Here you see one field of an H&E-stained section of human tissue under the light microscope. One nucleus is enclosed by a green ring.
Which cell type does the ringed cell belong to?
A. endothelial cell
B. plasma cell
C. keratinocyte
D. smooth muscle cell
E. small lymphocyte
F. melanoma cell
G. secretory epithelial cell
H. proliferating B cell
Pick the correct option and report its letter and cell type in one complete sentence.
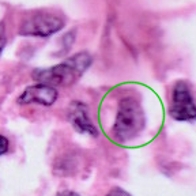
Option F is the correct one, since the ringed cell is a melanoma cell.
